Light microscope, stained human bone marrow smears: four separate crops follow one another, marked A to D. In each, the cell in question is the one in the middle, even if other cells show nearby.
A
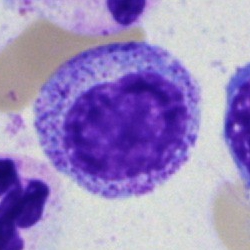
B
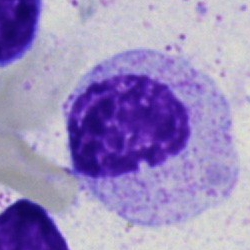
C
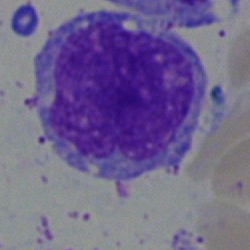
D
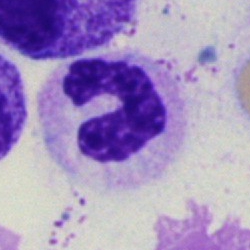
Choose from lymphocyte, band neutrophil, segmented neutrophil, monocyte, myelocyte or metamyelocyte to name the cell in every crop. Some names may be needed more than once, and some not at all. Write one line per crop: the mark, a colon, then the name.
A: myelocyte
B: myelocyte
C: monocyte
D: band neutrophil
